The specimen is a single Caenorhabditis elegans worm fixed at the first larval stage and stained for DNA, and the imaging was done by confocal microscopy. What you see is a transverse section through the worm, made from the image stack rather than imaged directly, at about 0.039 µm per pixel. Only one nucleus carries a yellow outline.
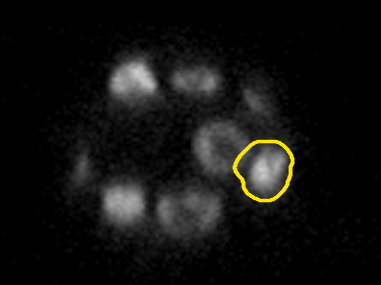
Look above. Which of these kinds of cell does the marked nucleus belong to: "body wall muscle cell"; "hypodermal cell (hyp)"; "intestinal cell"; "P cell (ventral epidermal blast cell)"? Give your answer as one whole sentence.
The marked nucleus is that of a body wall muscle cell.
